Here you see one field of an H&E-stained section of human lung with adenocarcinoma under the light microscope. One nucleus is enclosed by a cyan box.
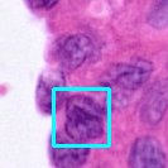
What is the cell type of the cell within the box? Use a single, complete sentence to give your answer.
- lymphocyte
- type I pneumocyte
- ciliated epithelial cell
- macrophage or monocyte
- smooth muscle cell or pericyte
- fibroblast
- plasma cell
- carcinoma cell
Histopathologically, the cell within the box is a carcinoma cell.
